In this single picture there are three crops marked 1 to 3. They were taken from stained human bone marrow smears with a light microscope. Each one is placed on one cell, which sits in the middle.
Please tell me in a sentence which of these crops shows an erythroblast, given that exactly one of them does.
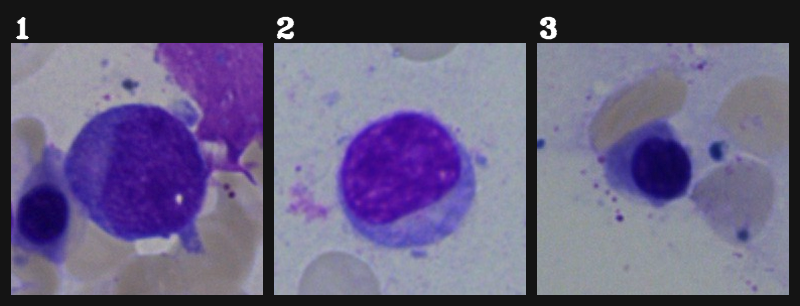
That would be crop 3; it shows an erythroblast.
